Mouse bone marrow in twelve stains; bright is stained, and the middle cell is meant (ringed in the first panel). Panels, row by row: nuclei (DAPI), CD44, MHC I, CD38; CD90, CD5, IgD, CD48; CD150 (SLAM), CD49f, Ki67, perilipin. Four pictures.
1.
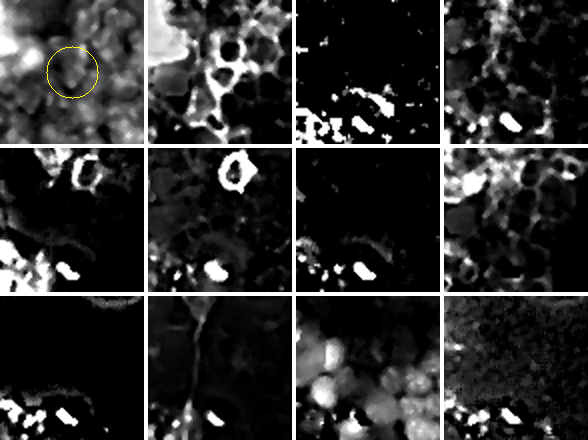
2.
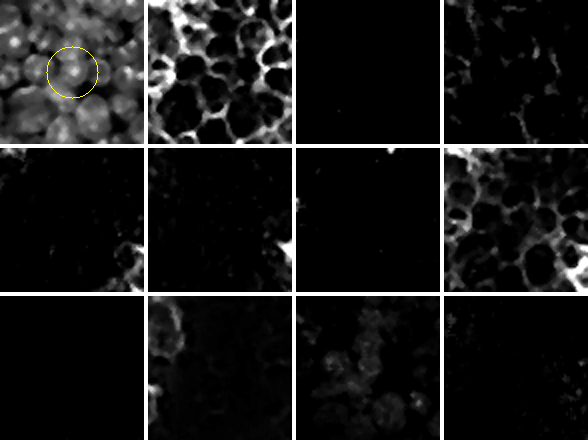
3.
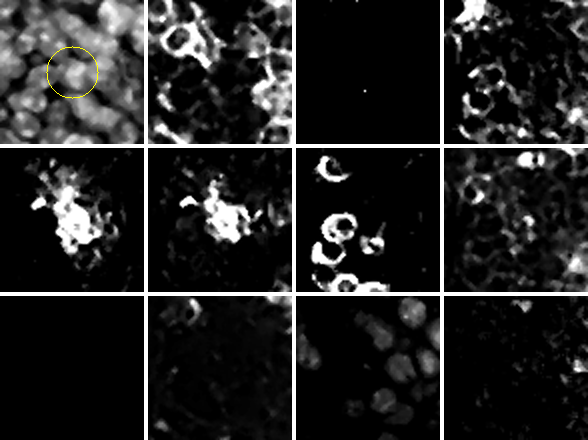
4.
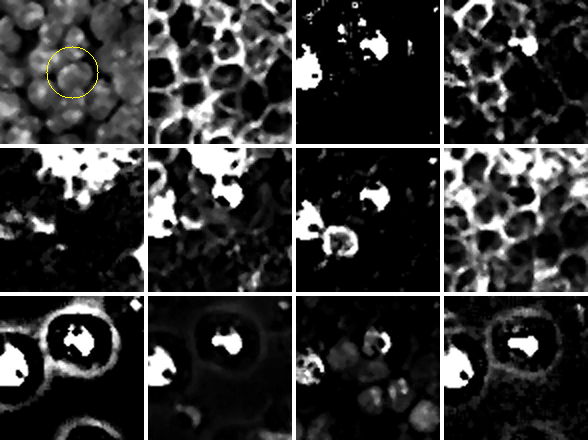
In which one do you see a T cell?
In picture 3.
